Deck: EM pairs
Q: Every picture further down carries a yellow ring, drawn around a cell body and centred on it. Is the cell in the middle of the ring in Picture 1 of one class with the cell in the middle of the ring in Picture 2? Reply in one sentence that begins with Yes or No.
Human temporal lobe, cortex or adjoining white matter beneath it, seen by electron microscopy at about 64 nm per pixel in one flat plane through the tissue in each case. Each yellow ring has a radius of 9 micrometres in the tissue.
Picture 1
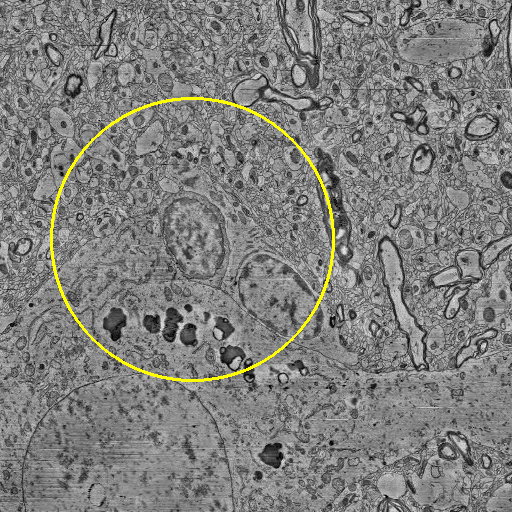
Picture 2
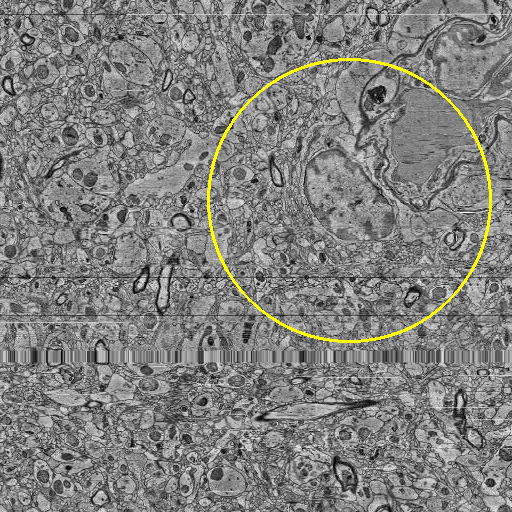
No, the cell centred in the ring of Picture 1 and the one in Picture 2 belong to separate classes.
